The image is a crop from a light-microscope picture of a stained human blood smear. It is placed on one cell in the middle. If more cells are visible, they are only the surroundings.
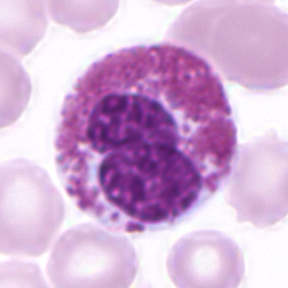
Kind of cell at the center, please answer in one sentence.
The target cell in the middle of the crop is an eosinophil.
